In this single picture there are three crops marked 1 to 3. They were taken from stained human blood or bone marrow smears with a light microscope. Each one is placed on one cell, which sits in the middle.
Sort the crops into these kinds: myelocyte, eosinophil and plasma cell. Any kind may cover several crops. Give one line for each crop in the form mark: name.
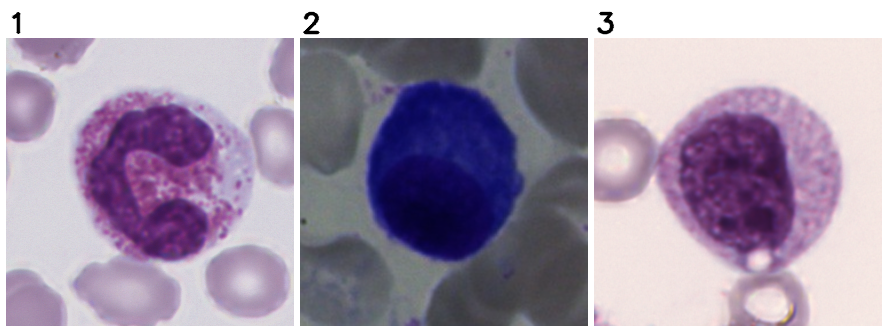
1: eosinophil
2: plasma cell
3: myelocyte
